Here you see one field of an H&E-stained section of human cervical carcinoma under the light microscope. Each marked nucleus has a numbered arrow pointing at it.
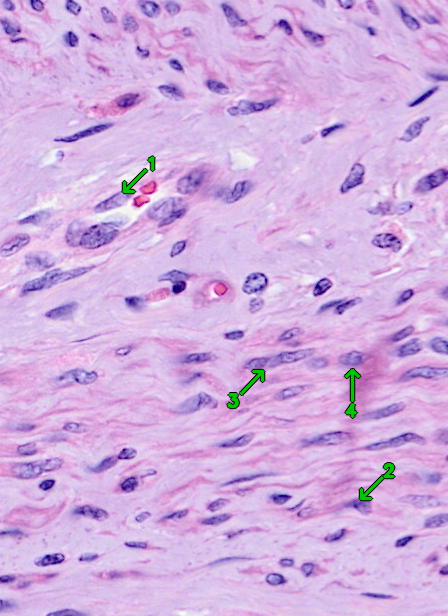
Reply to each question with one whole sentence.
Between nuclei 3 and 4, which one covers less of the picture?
Nucleus 4 covers less area, with nucleus 3 about 2 times as large.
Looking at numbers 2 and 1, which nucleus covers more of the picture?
Of the two, number 1 is bigger and takes up about 2 times the area of number 2.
